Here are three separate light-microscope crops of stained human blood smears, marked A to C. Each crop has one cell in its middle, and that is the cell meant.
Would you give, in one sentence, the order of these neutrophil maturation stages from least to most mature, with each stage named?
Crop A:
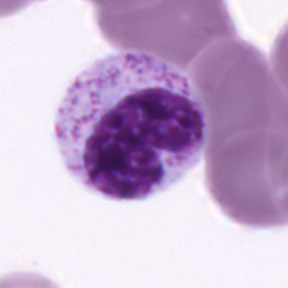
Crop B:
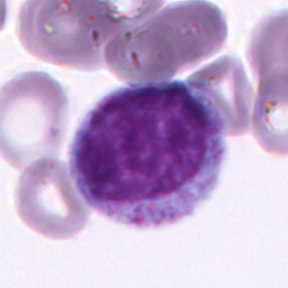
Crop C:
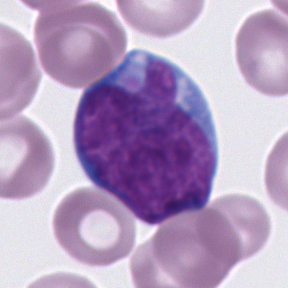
In terms of maturity, from lowest to highest, the order reads crop C (a myeloblast), crop B (a myelocyte) and crop A (a band neutrophil).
